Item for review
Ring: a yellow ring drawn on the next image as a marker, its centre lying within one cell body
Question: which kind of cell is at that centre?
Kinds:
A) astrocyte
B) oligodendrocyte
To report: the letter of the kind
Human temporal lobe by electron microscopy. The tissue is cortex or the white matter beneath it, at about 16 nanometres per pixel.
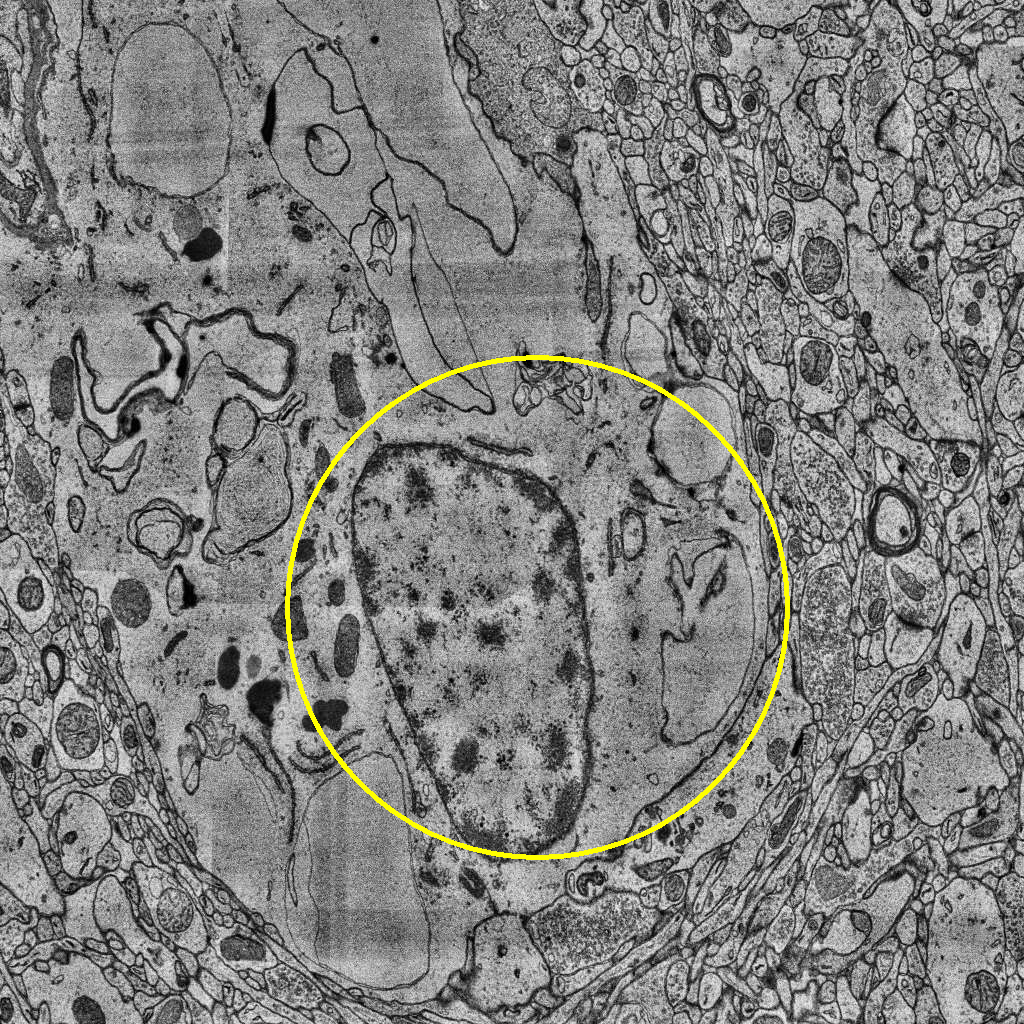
A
